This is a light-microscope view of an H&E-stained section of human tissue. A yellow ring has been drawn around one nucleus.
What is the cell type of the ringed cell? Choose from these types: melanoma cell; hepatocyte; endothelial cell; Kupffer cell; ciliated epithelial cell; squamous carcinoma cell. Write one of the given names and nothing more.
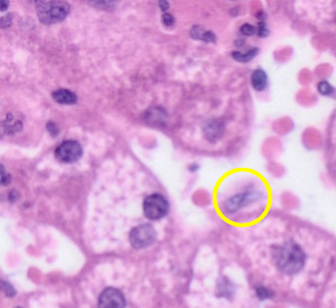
Kupffer cell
